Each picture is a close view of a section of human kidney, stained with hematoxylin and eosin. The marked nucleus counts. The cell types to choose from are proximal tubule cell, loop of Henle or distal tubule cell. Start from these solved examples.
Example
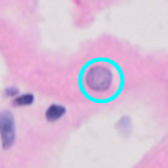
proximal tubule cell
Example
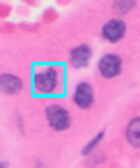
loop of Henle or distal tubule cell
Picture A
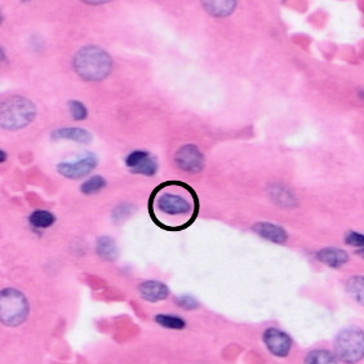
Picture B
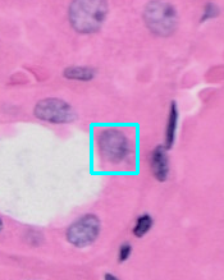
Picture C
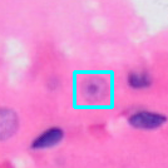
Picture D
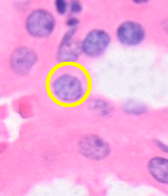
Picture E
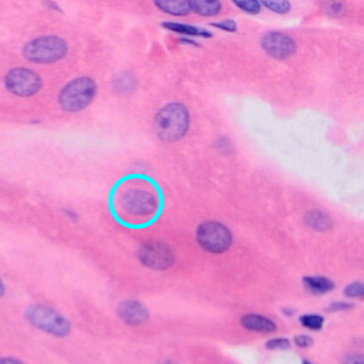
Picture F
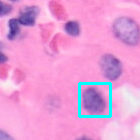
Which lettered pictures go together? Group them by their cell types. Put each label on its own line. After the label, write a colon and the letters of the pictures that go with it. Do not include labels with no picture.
proximal tubule cell: C, E
loop of Henle or distal tubule cell: A, B, D, F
